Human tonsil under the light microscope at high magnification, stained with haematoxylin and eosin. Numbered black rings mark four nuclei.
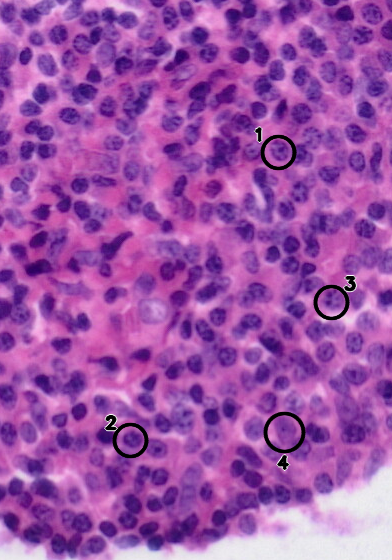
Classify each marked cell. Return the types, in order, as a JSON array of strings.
["plasma cell", "plasma cell", "plasma cell", "squamous epithelial cell"]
